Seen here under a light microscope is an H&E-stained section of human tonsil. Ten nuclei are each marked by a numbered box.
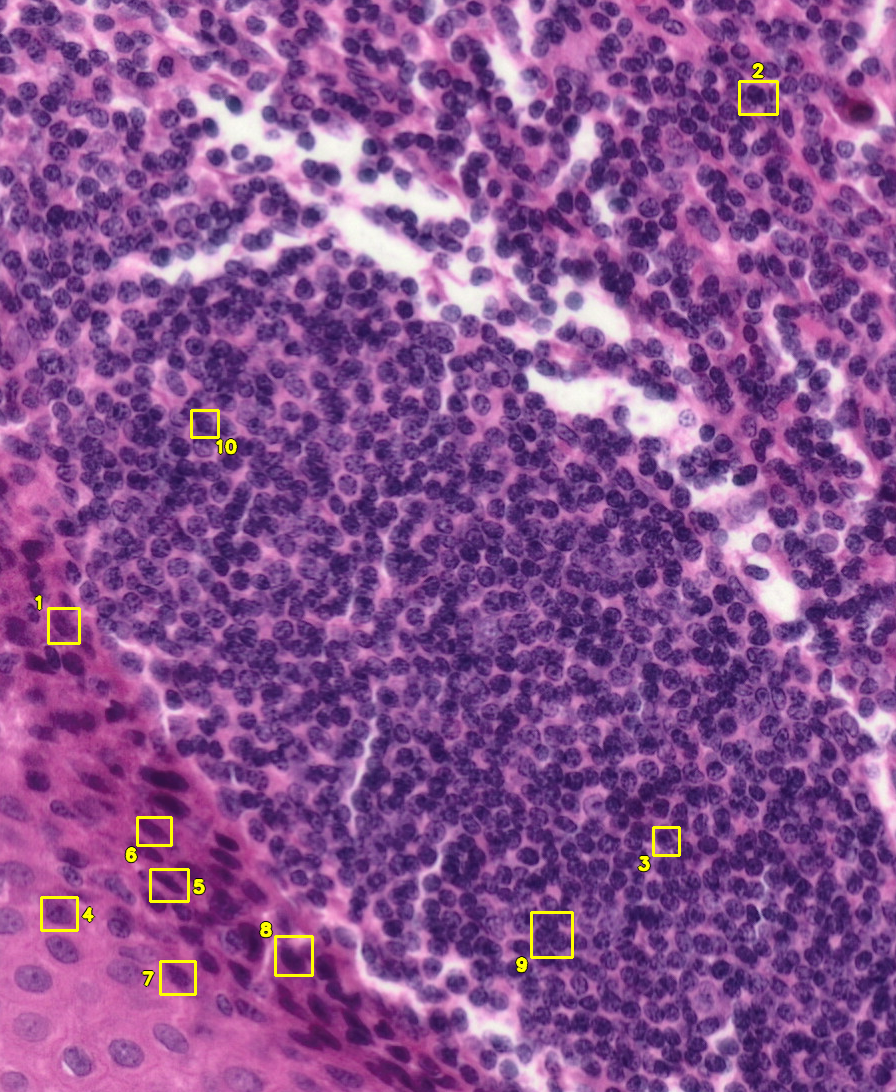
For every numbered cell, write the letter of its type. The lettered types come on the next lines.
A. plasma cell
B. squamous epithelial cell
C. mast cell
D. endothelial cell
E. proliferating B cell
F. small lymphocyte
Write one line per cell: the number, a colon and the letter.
1: B
2: F
3: F
4: B
5: B
6: B
7: B
8: B
9: F
10: F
